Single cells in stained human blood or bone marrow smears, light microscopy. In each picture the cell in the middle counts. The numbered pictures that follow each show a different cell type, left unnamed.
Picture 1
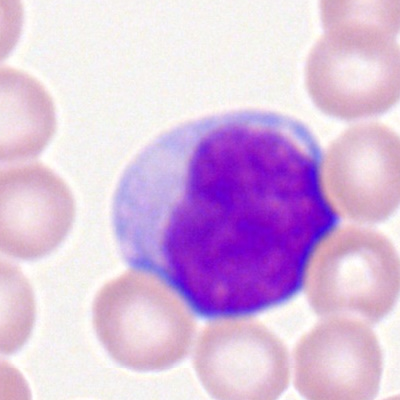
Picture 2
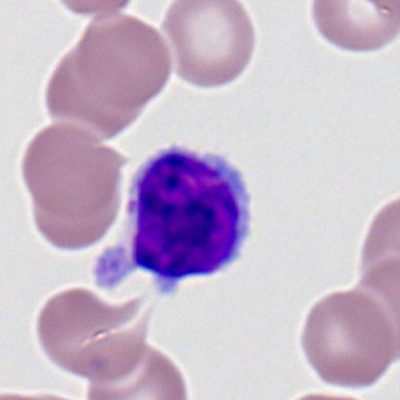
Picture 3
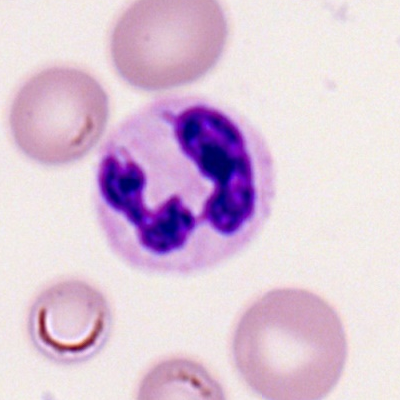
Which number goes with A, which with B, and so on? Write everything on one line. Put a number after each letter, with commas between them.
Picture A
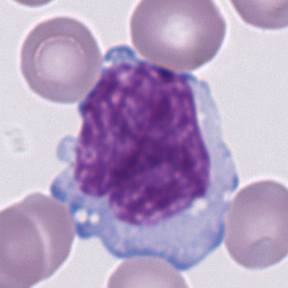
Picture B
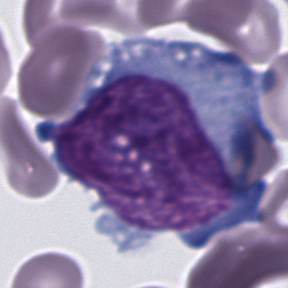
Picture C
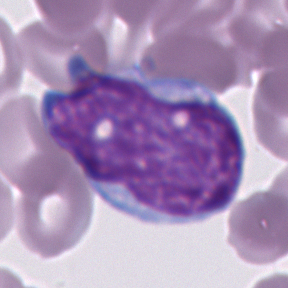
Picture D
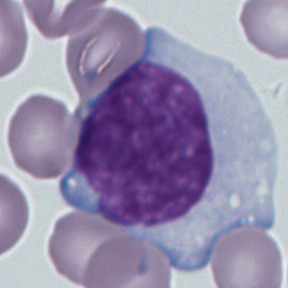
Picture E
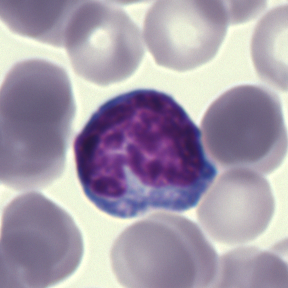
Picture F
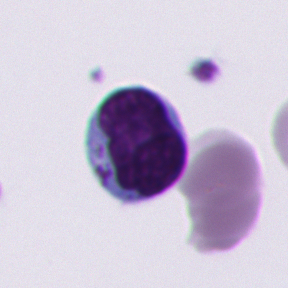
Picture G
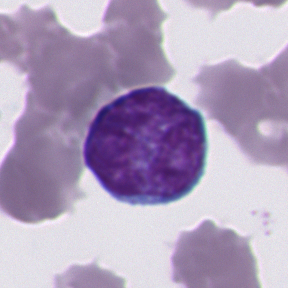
A 1, B 1, C 1, D 1, E 2, F 2, G 2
